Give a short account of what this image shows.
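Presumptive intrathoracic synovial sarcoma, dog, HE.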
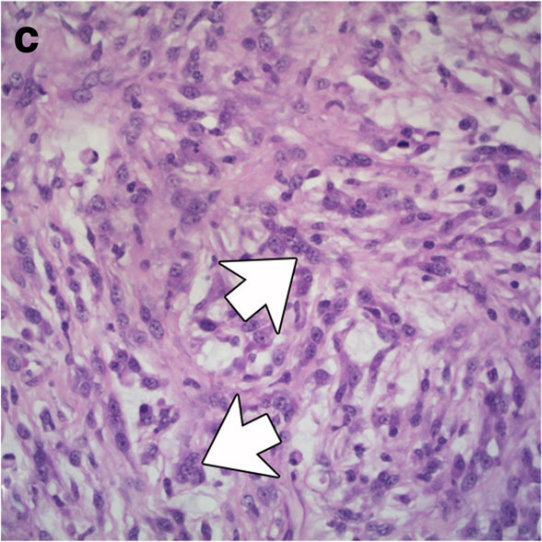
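These are tumour cells that range from spindle-shaped to polygonal, lying in a pale pink, loose background. Their cytoplasm is pink and the borders between neighbouring cells are hard to make out. Most cells carry one round to oval nucleus with fine chromatin and a distinct dark nucleolus. A few cells, where the white arrows point, hold several nuclei clustered together. The cells are arranged in loose, irregular groups and streams separated by clear spaces.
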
